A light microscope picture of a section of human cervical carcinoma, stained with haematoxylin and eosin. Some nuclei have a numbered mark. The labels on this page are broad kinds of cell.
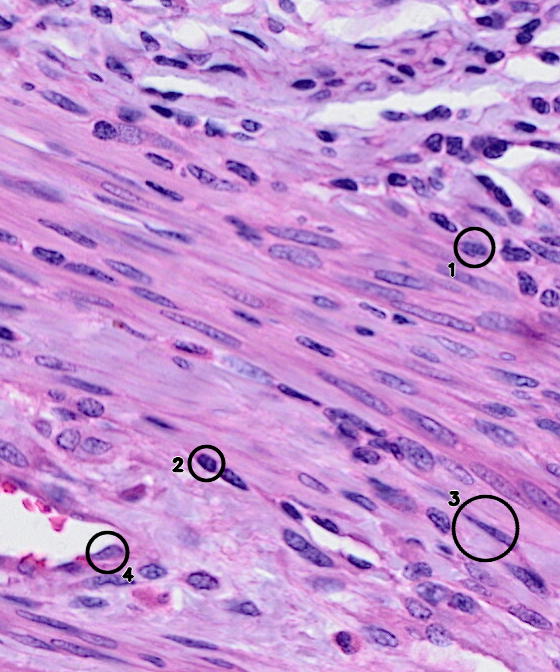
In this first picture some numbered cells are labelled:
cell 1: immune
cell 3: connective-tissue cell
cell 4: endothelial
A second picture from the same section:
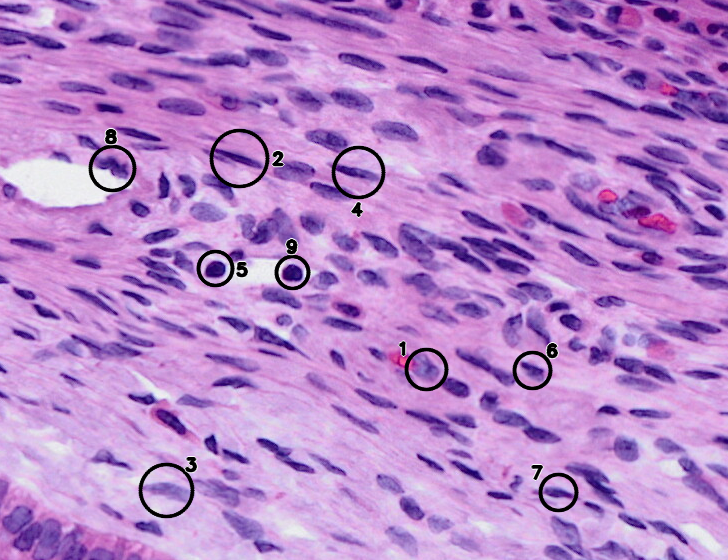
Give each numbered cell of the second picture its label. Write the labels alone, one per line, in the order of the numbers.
endothelial
connective-tissue cell
connective-tissue cell
connective-tissue cell
immune
connective-tissue cell
connective-tissue cell
endothelial
immune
